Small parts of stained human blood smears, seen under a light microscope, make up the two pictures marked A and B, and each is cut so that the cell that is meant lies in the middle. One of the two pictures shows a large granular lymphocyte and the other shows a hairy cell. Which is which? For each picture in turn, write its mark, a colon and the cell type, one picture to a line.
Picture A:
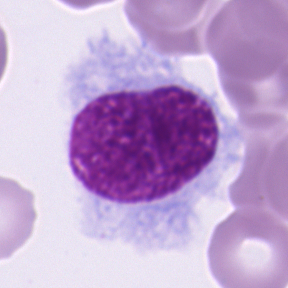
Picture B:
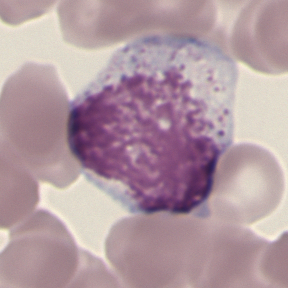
A: hairy cell
B: large granular lymphocyte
